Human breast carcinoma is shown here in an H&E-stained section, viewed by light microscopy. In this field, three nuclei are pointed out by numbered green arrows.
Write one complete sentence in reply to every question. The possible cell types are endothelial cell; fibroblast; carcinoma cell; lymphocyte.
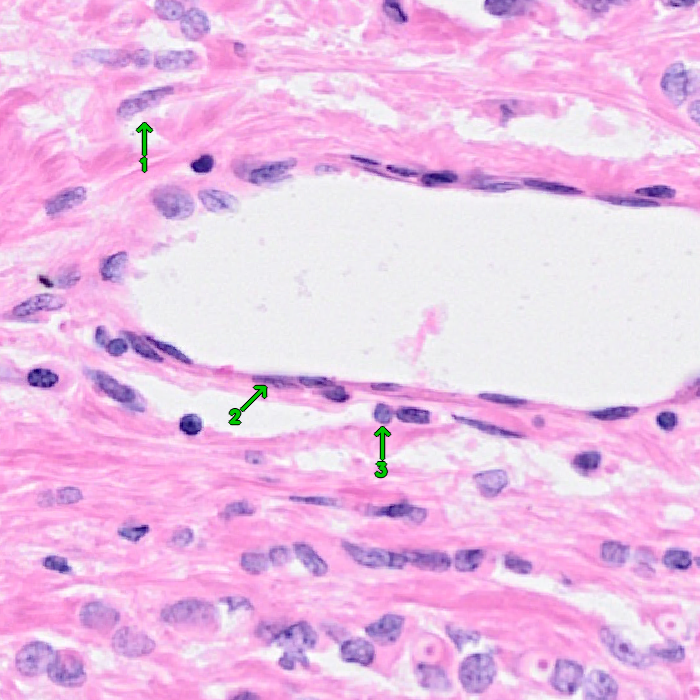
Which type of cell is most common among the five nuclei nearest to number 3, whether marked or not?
Around number 3, most of the five nearest nuclei are those of endothelial cells.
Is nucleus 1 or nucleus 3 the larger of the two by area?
Of the two, number 1 is bigger and takes up about 2.5 times the area of number 3.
